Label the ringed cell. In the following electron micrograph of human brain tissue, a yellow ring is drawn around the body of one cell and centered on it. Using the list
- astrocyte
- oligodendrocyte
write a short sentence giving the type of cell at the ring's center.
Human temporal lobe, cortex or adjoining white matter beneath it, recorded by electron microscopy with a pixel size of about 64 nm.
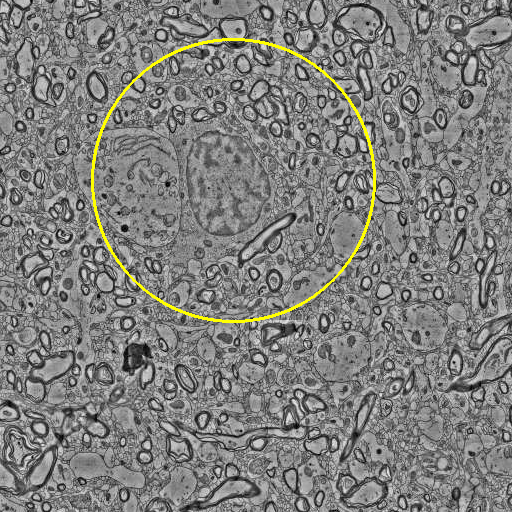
The cell body at the ring's center is that of an oligodendrocyte.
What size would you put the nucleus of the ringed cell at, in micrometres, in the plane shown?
About 7 by 5 micrometers for the nucleus, in this plane.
